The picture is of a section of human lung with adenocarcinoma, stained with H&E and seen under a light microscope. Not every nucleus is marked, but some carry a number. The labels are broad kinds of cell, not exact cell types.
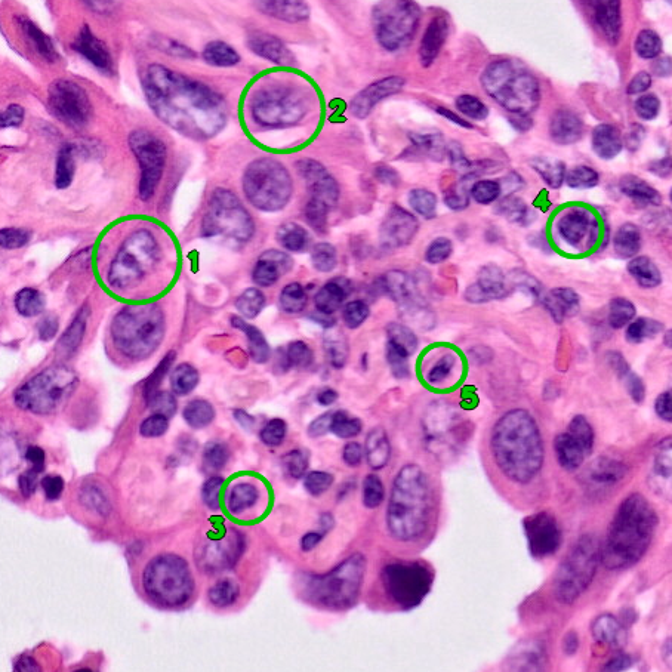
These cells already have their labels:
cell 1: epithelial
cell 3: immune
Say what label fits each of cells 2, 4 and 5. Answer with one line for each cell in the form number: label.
2: epithelial
4: immune
5: immune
